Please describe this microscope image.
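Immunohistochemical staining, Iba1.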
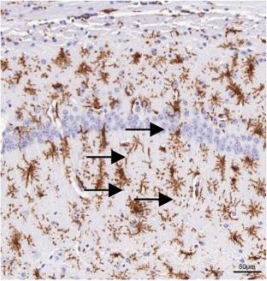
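Brain tissue crowded with brown-stained microglial cells lying above and below a curved band of closely packed, round blue nuclei of neurons. The microglia are numerous and closely spaced, each with a dark, irregular cell body from which several thick, heavily branched processes radiate, giving a bushy, star-like outline. Processes of neighbouring cells come close to or overlap one another. Many such cells lie within and alongside the band of neuronal nuclei. Between the stained cells the pale blue-violet background holds scattered small nuclei and a few thin-walled vessels.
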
